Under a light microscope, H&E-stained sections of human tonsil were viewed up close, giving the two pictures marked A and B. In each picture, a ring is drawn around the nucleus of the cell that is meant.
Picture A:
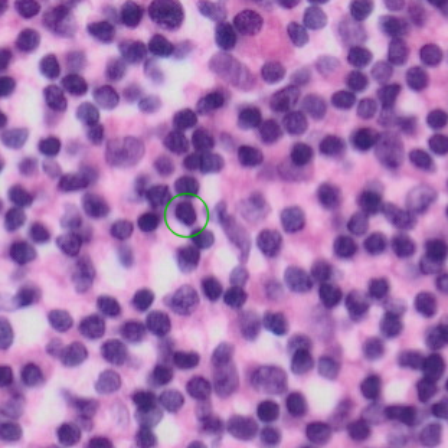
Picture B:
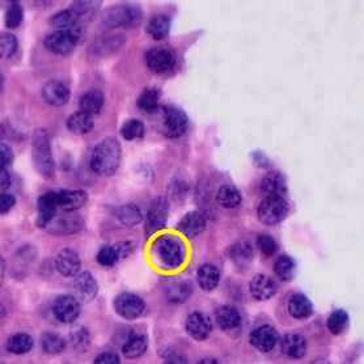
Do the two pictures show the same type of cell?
no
